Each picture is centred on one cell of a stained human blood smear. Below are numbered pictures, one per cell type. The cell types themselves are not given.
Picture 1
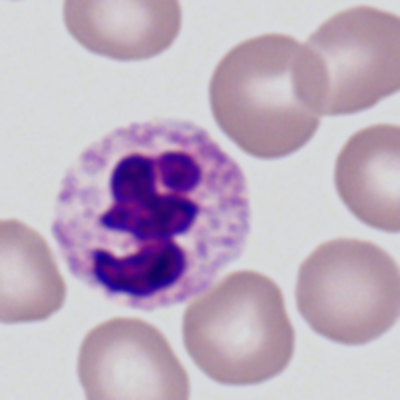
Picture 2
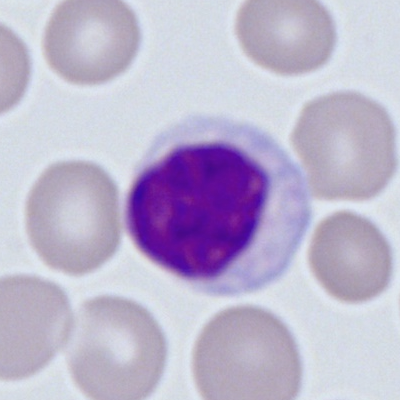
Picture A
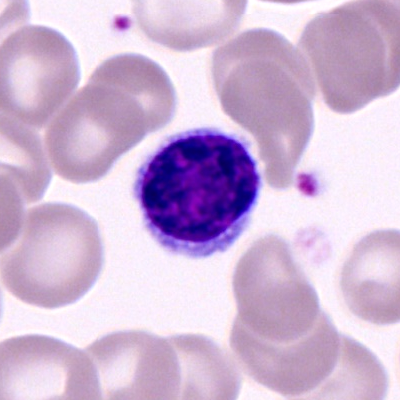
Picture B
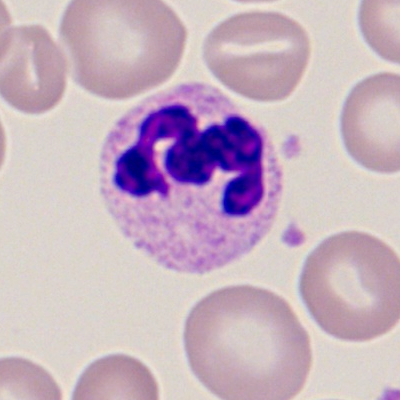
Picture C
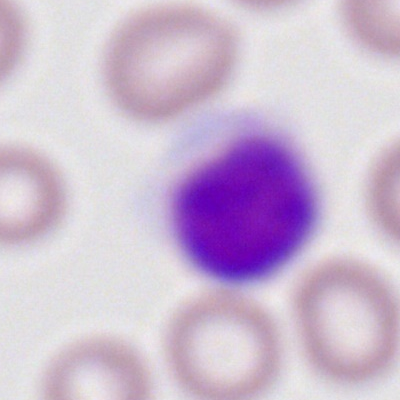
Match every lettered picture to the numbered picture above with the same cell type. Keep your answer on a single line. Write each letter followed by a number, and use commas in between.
A 2, B 1, C 2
